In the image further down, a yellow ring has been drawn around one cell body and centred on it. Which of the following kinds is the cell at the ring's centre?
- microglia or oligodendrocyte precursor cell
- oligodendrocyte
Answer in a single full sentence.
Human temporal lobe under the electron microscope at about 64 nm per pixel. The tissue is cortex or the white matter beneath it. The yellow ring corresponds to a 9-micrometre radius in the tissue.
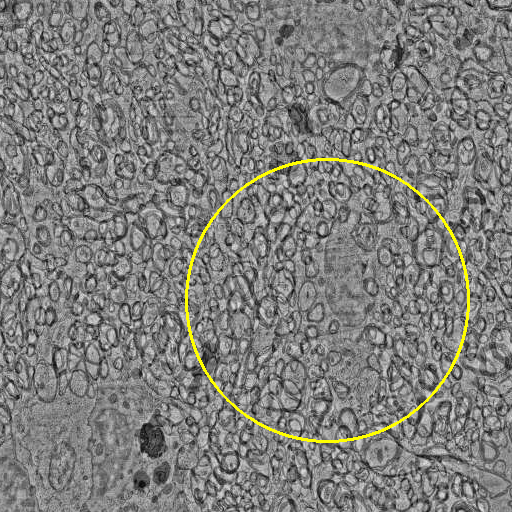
In the picture, the cell sitting at the centre of the yellow ring is an oligodendrocyte.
